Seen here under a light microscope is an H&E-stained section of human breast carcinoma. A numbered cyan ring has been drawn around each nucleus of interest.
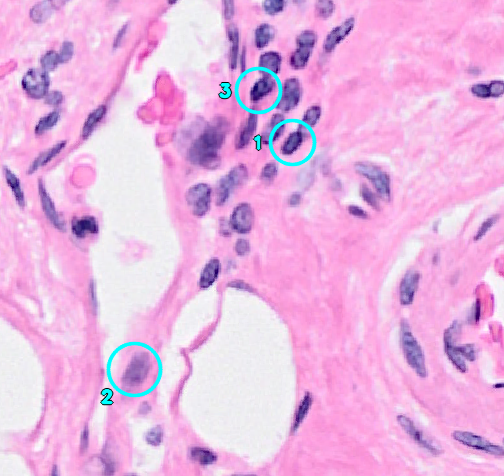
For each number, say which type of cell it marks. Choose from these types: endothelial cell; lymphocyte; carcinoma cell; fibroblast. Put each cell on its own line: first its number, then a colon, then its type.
1: lymphocyte
2: endothelial cell
3: lymphocyte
